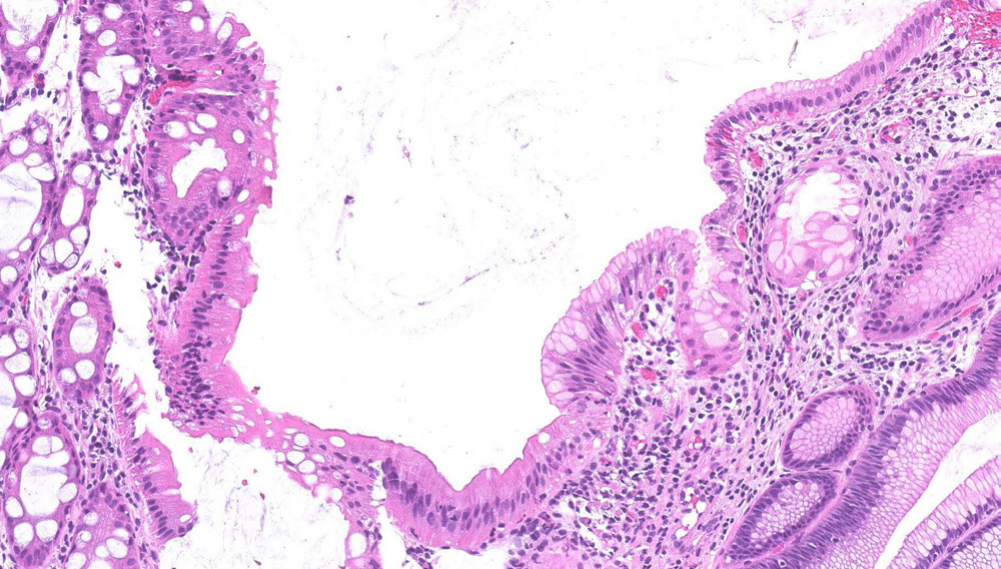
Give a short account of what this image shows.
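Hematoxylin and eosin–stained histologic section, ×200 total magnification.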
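This is intestinal-type mucosa on the left passing along a continuous surface into gastric-type foveolar epithelium on the right, with pale wispy mucus filling the lumen between them. On the left, crypts cut in cross and oblique section are lined by columnar cells interspersed with many rounded, clear goblet cells, and the surface cells have pink cytoplasm with basal, elongated, dark nuclei. Toward the right, the surface is lined by tall columnar cells, each with a uniform pale, mucin-filled apical cap above a basally placed nucleus, forming a smooth, regular band rather than scattered goblet cells. The lamina propria beneath the right side is cellular, with many small round dark nuclei of inflammatory cells and a few small vessels containing red blood cells. Deeper on the right, glands lined by similar mucin-capped cells are cut tangentially.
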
